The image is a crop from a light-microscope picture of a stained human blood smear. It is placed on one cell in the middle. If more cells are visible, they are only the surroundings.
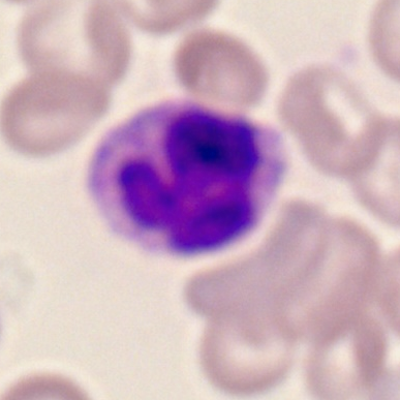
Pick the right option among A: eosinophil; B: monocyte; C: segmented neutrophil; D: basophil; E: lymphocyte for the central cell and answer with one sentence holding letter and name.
The central cell in this crop is a basophil, so the correct choice is option D.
